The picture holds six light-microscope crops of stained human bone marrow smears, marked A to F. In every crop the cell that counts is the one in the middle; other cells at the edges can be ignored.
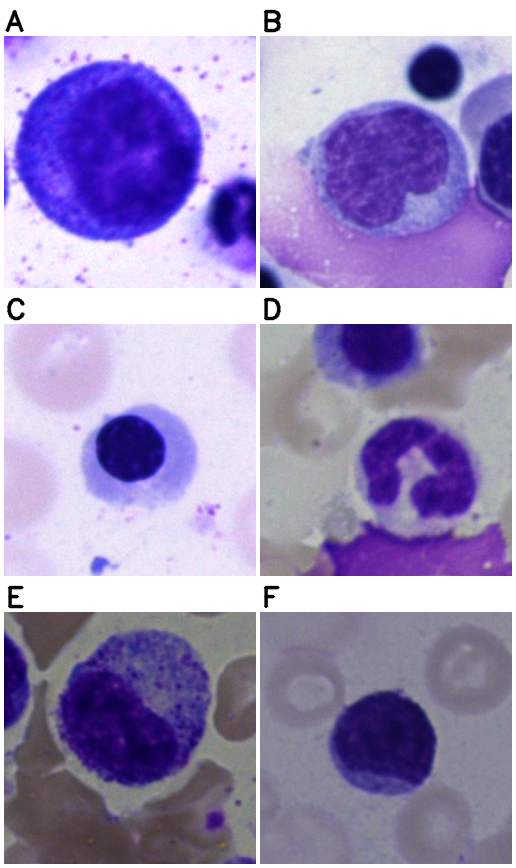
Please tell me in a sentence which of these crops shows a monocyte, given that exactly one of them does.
It is crop B, not any other, that shows a monocyte.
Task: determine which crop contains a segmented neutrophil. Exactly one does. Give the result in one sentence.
Of the crops shown, crop D depicts a segmented neutrophil.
